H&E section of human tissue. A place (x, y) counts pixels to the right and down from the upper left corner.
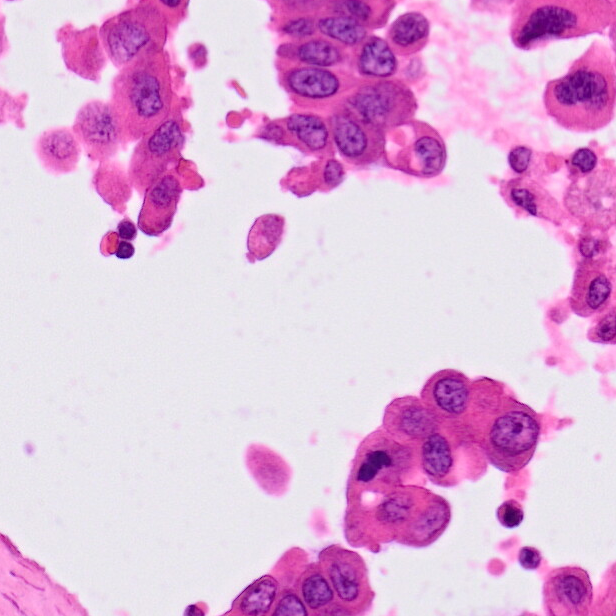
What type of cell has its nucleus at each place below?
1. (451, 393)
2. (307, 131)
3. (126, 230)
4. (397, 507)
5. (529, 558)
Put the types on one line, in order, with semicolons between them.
carcinoma cell; carcinoma cell; lymphocyte; carcinoma cell; lymphocyte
